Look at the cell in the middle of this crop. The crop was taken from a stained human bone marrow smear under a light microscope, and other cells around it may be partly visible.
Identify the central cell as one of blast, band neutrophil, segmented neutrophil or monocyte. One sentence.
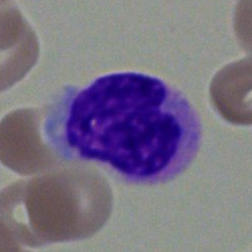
Classification of the middle cell gives a band neutrophil.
